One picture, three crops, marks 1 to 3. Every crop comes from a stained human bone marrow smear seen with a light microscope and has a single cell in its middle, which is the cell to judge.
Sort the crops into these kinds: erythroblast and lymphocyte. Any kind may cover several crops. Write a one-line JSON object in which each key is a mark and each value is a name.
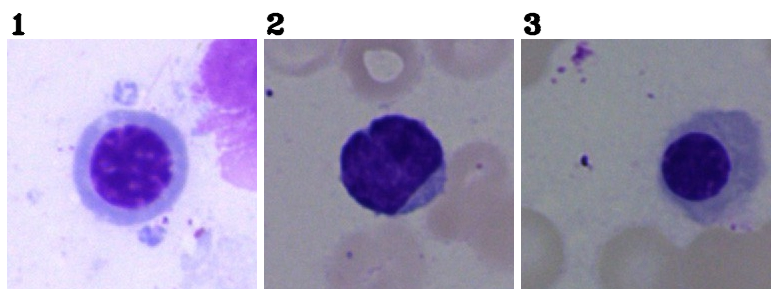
{"1": "erythroblast", "2": "lymphocyte", "3": "erythroblast"}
